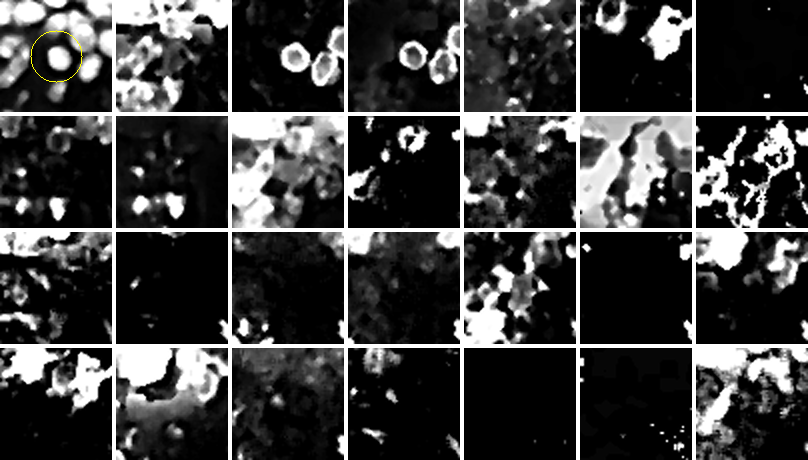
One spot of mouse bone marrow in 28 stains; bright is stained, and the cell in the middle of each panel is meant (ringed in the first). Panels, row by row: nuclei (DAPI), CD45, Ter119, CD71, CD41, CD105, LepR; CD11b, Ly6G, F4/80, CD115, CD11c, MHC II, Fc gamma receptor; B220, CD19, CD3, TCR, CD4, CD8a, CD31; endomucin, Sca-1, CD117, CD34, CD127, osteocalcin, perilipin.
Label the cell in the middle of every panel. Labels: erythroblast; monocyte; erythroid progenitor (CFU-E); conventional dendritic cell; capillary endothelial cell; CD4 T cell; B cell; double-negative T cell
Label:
erythroblast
